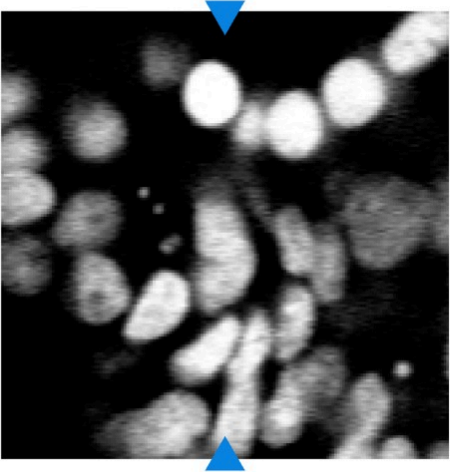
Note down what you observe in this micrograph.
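The nuclei are oval to elongated, some bean-shaped, and differ markedly in brightness from one to the next. Along the top a row of rounder, brighter nuclei forms a curved line, while below it nuclei crowd together and some touch or overlap. A few small round bright dots lie between the larger nuclei.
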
